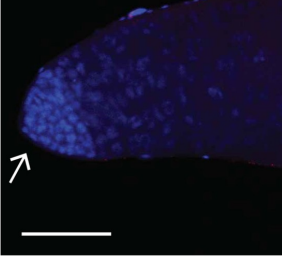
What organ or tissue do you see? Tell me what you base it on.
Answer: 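Testis. A blind-ended tube with a rounded tip. Many densely packed nuclei fill the tip and thin out further along.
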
